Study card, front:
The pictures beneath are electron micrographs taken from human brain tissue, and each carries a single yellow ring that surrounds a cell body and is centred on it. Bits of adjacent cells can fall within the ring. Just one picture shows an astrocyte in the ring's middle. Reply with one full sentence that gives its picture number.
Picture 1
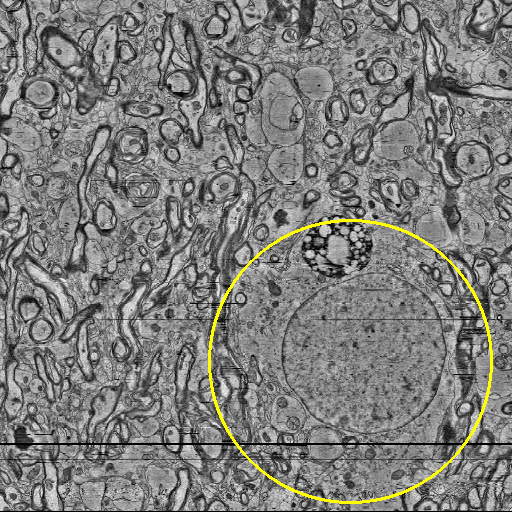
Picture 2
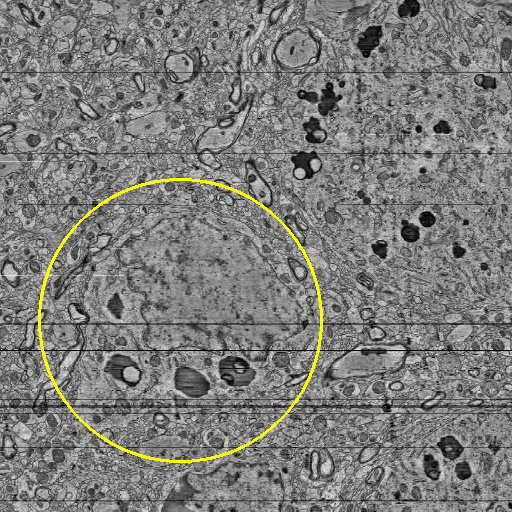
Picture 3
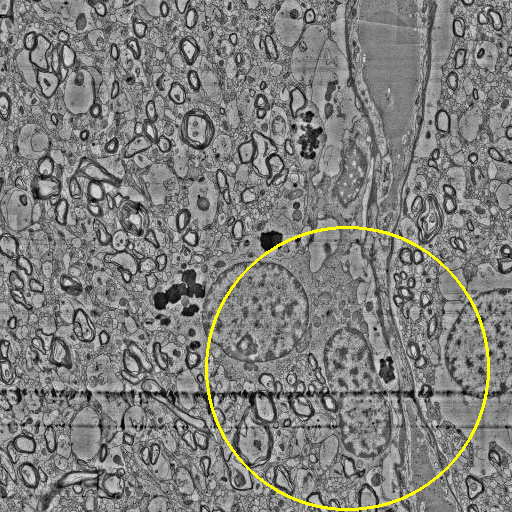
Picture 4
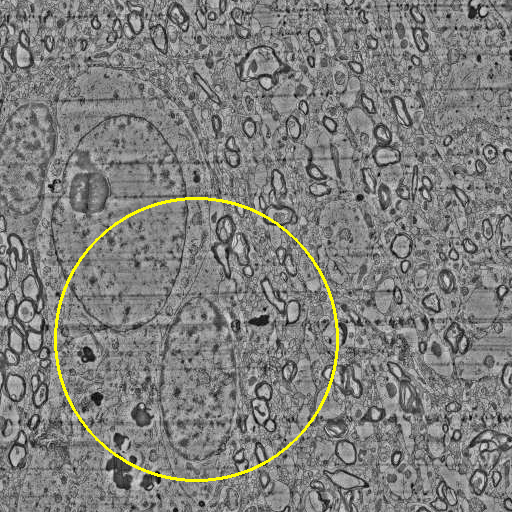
Picture 1 is the one whose ring has the requested cell at its centre.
